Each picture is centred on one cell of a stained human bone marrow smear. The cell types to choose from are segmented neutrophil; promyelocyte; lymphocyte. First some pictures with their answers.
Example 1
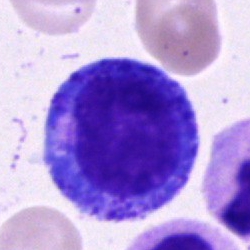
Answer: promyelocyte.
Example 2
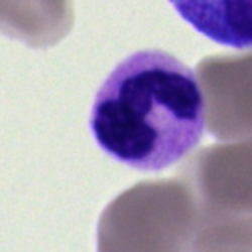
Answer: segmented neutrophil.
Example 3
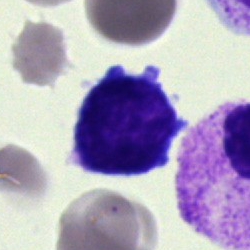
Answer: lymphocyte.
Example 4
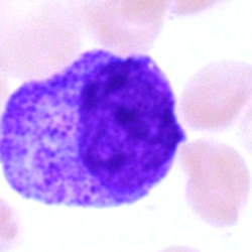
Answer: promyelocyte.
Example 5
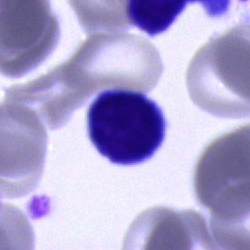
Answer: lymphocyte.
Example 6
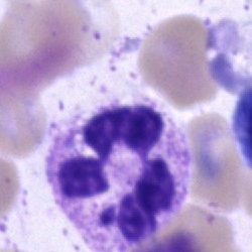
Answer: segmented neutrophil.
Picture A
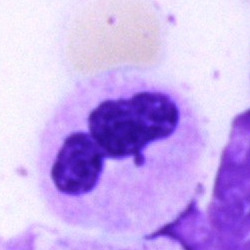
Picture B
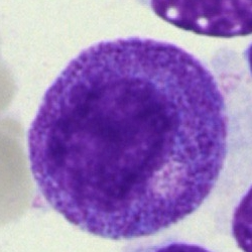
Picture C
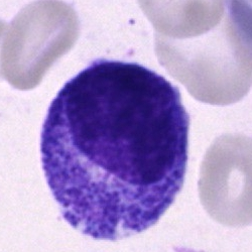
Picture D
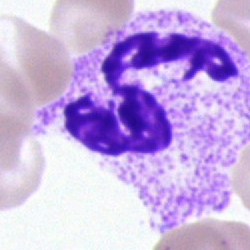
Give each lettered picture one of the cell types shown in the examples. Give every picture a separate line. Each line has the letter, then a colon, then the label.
A: segmented neutrophil.
B: promyelocyte.
C: promyelocyte.
D: segmented neutrophil.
